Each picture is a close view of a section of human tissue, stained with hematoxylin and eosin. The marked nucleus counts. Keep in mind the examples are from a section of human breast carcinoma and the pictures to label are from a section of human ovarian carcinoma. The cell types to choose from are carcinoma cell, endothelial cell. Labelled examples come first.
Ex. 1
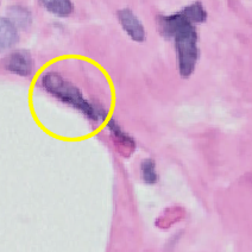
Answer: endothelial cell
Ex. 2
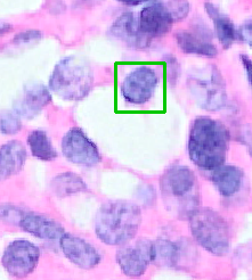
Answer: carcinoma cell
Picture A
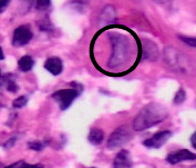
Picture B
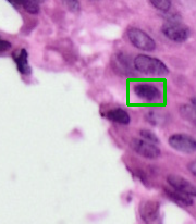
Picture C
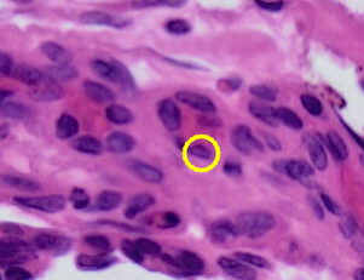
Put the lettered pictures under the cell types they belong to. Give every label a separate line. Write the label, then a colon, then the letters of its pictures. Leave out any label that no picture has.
carcinoma cell: B
endothelial cell: A, C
